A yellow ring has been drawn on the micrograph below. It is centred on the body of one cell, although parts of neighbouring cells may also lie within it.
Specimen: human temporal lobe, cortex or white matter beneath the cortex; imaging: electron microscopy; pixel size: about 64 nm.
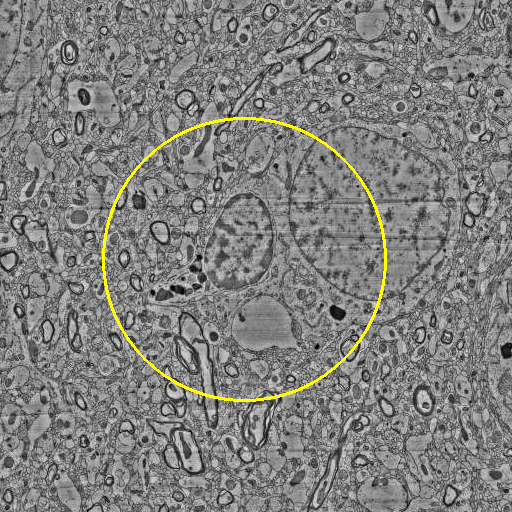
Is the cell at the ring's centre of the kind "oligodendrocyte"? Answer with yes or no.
no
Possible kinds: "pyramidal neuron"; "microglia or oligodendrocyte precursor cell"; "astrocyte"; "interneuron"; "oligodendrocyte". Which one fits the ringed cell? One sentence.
Instead, the cell at the centre of the ring is a microglial cell or oligodendrocyte precursor cell.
